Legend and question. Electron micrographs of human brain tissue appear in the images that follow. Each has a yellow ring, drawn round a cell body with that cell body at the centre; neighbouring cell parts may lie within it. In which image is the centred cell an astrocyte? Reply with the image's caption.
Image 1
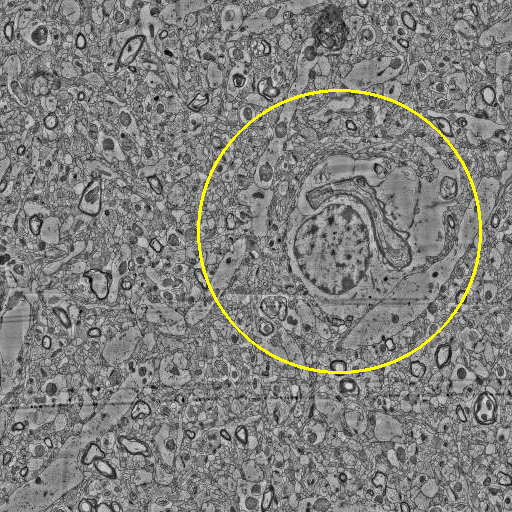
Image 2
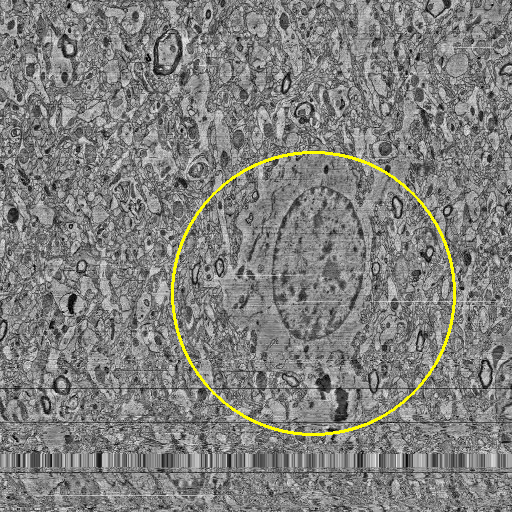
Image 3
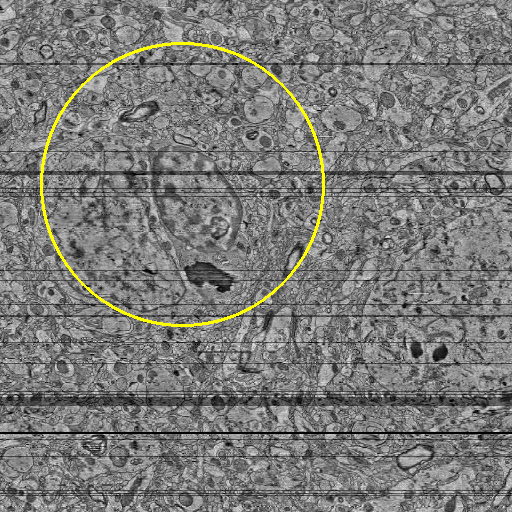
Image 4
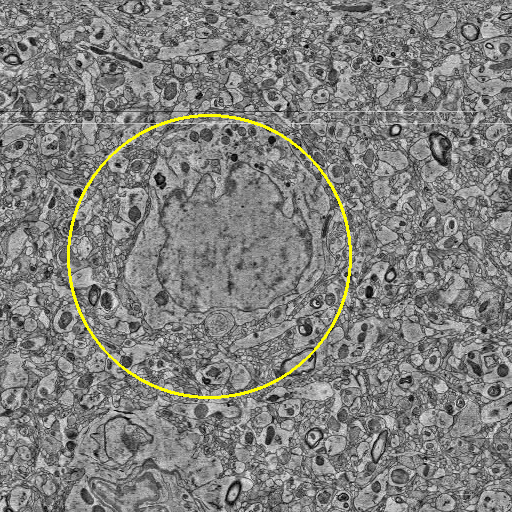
Image 2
